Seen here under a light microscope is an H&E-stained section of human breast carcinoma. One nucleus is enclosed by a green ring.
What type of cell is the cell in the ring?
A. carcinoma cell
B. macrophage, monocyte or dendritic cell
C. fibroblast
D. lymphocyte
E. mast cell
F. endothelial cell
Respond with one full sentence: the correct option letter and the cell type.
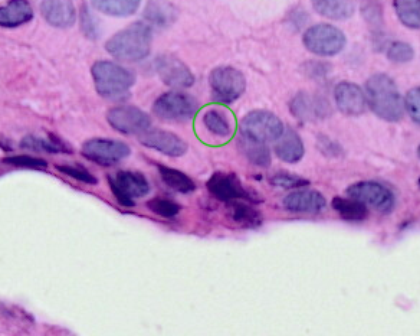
Option A, which has the cell in the ring as a carcinoma cell, is the correct choice.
